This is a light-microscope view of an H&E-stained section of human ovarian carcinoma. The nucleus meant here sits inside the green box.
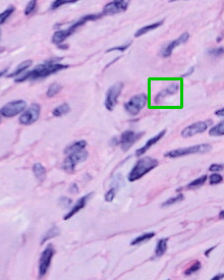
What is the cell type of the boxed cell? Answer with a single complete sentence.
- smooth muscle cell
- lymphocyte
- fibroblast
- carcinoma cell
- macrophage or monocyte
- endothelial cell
In the stained section, the boxed cell is a smooth muscle cell.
